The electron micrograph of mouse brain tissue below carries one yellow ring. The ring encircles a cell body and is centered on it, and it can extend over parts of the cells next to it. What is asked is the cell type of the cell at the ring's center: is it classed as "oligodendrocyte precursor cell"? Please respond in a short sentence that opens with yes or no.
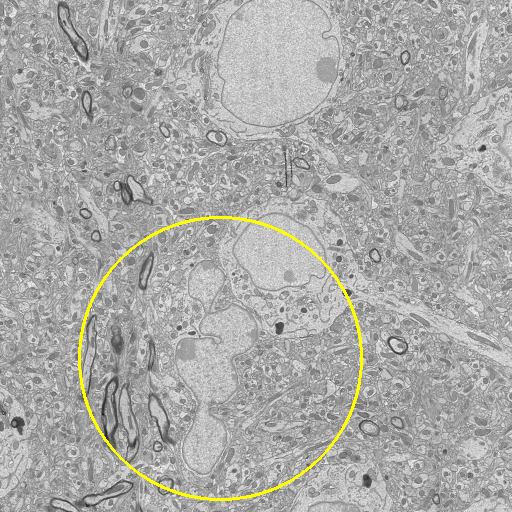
Yes, it is classed that way.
